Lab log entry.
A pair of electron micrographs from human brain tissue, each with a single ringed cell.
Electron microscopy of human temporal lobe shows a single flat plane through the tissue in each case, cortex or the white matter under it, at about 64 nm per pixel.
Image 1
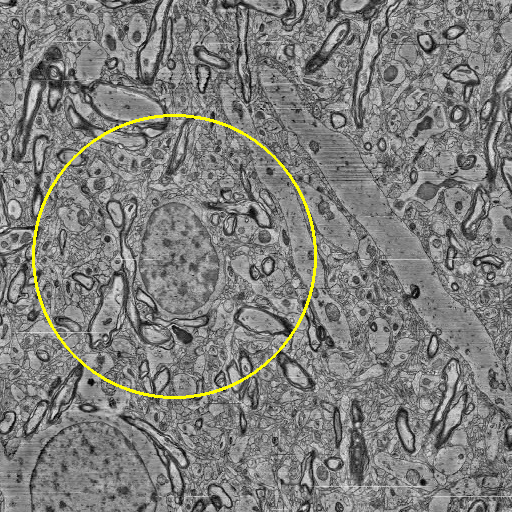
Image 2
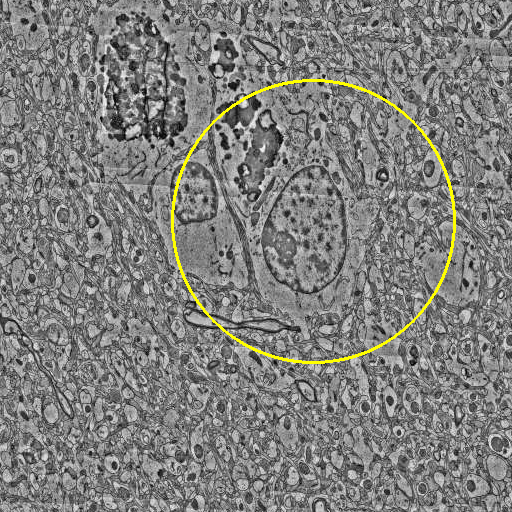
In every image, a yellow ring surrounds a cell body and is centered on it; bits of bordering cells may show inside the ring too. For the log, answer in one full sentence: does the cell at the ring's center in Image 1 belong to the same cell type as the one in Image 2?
No, the cells at the ring centers in Image 1 and Image 2 are of separate types.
